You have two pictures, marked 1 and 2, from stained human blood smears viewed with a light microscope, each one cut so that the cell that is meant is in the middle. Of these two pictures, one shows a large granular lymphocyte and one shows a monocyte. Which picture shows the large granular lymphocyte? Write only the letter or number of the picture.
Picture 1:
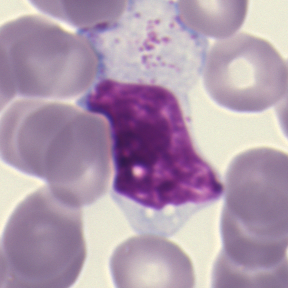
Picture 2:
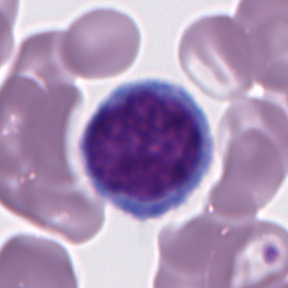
1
